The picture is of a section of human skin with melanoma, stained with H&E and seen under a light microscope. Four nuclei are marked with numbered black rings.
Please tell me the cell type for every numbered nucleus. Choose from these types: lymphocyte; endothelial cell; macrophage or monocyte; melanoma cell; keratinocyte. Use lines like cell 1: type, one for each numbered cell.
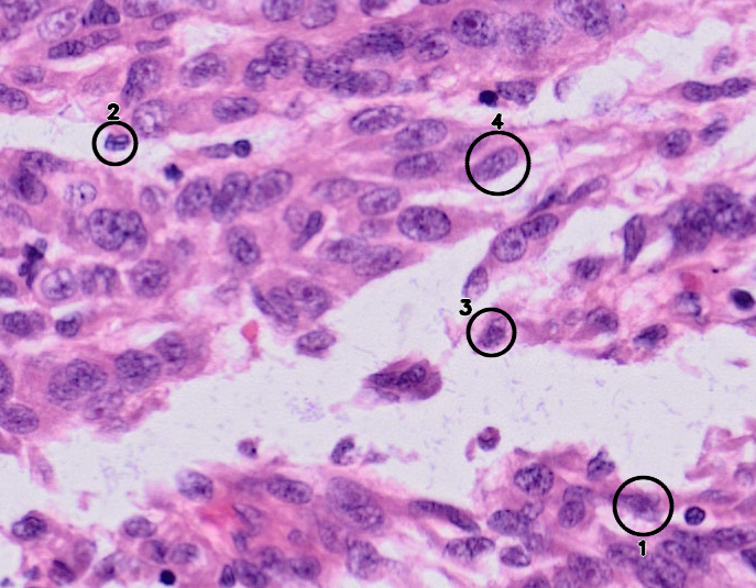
cell 1: melanoma cell
cell 2: lymphocyte
cell 3: melanoma cell
cell 4: melanoma cell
